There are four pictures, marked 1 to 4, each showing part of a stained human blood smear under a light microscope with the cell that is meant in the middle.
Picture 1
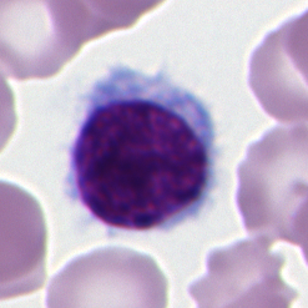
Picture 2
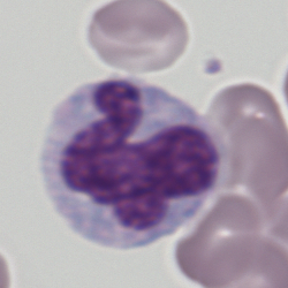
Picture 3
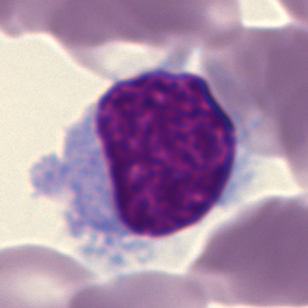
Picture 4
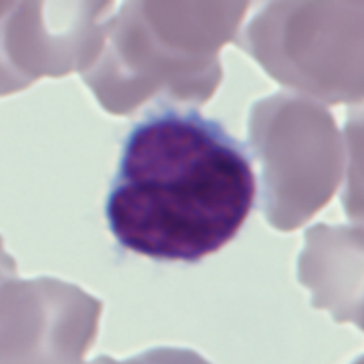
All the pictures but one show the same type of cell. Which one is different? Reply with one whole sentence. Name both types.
The others show hairy cells, but picture 2 shows a monocyte.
